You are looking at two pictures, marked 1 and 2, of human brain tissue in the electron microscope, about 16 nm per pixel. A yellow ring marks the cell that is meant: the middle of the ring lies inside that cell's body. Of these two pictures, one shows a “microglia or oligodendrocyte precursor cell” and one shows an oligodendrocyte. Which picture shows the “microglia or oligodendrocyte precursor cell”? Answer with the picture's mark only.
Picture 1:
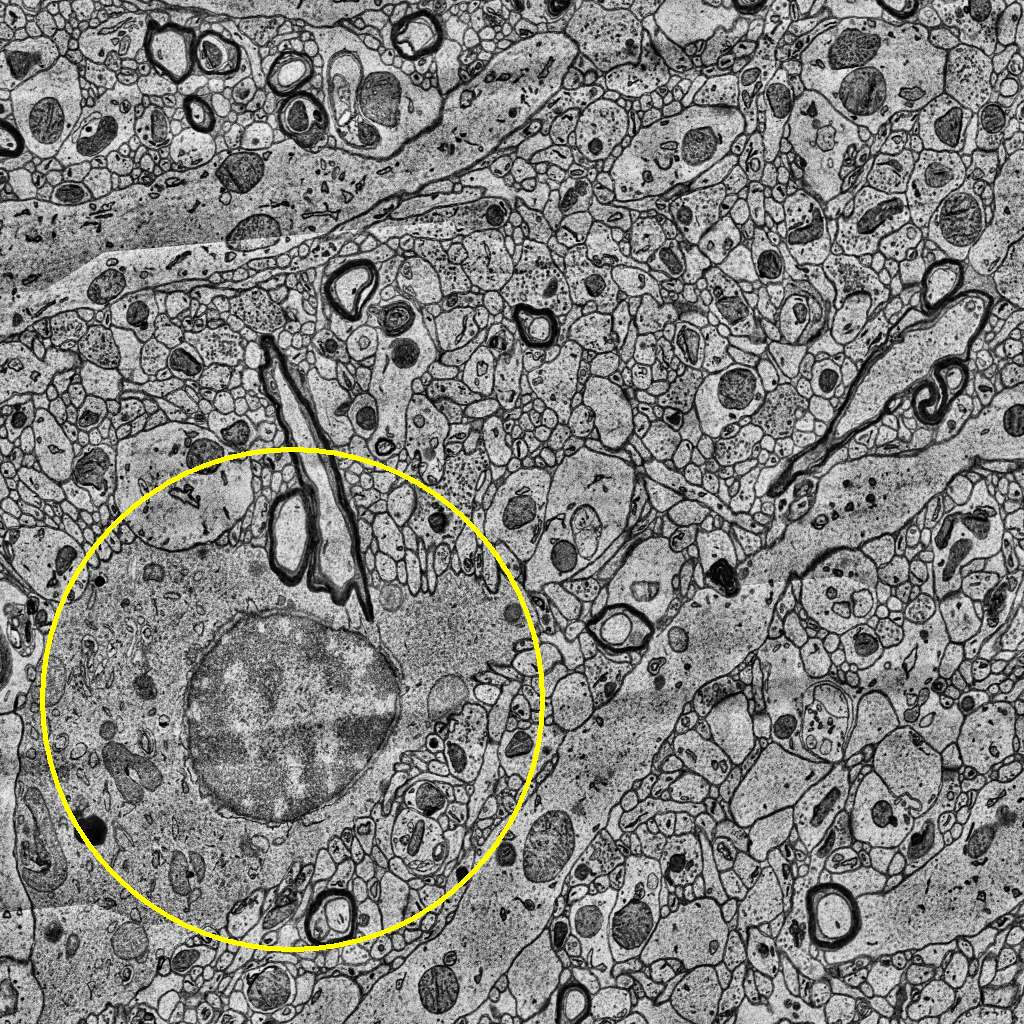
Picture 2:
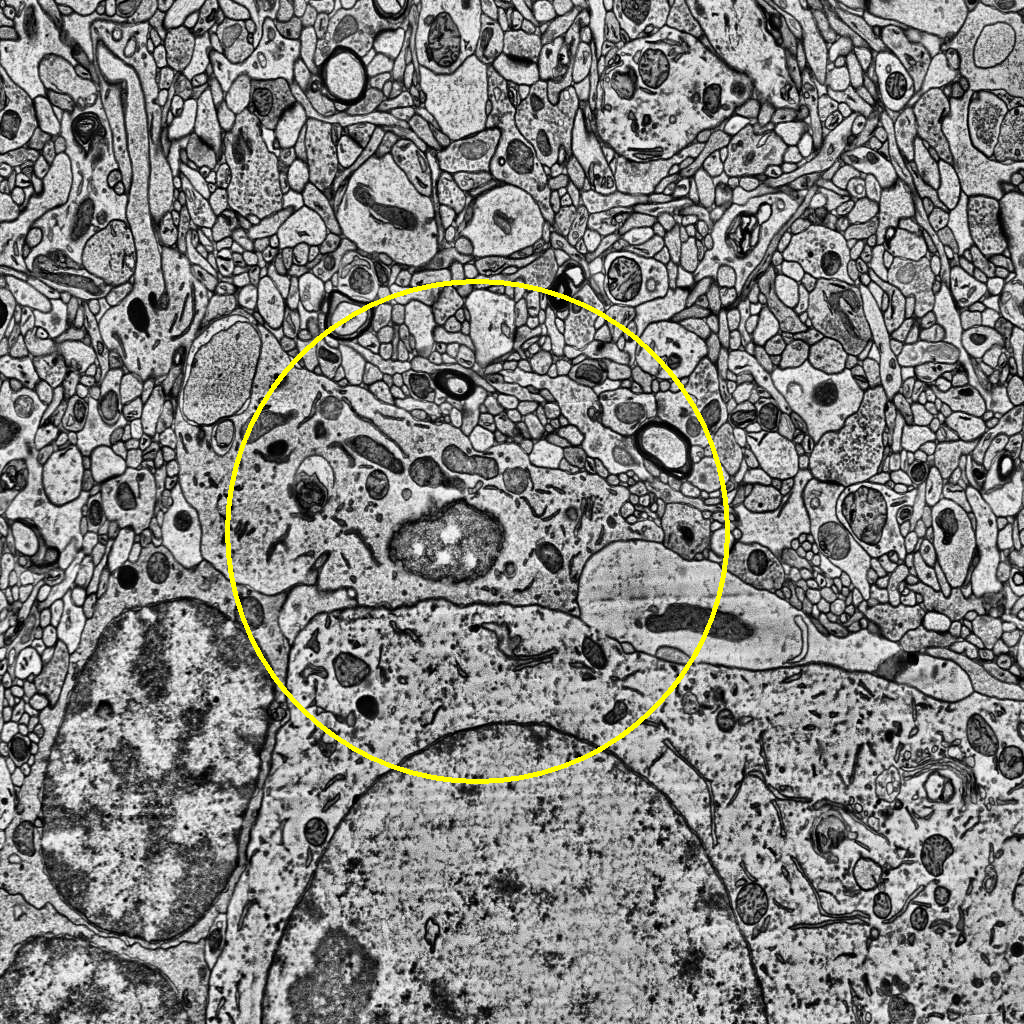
2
